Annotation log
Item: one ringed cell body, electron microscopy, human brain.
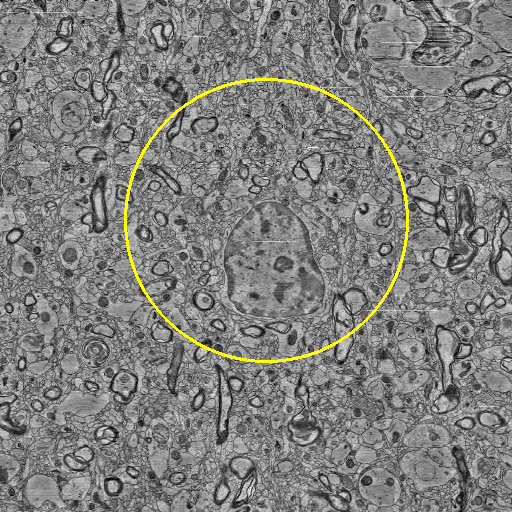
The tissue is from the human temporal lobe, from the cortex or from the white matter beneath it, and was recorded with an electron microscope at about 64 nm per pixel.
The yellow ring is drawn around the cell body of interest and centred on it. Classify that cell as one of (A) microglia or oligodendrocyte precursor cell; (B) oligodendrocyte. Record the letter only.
A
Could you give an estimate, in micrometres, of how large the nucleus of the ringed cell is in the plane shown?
The nucleus works out at approximately 8 by 6 micrometres in this plane.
